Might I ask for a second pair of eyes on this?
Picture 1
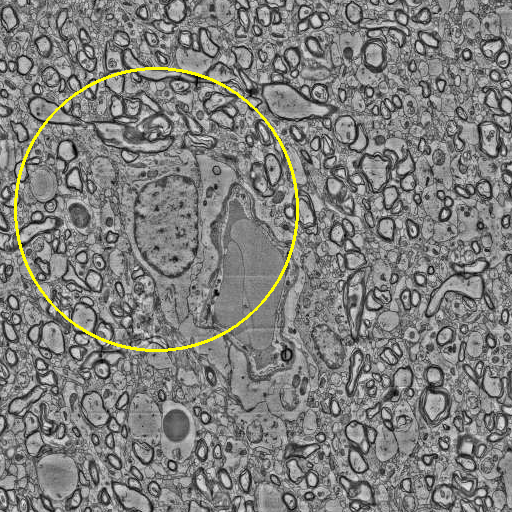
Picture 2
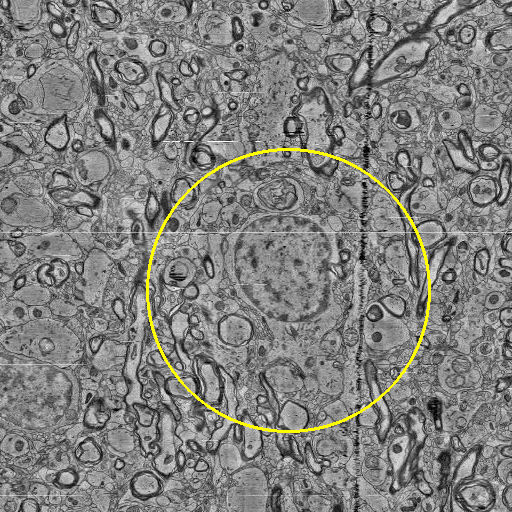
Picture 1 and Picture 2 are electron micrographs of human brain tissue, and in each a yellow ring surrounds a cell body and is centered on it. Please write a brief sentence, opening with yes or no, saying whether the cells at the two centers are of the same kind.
Yes, the cells are of the same kind.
